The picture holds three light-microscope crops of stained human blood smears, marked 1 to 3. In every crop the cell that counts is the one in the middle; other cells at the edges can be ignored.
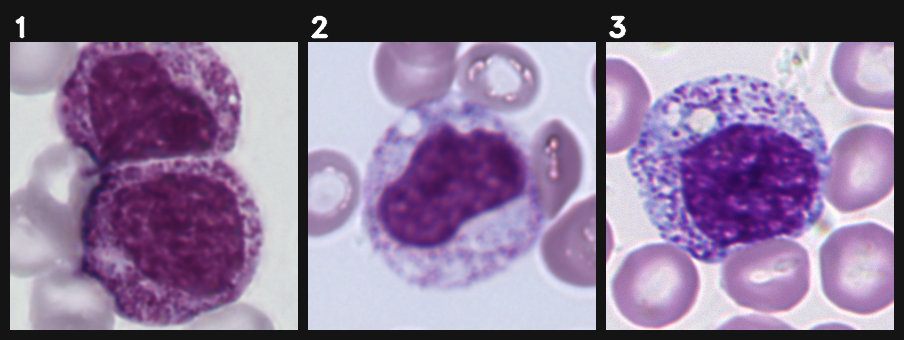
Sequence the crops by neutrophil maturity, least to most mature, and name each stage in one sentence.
In order of rising maturity, the sequence is crop 3 (a promyelocyte), crop 1 (a myelocyte) and crop 2 (a metamyelocyte).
